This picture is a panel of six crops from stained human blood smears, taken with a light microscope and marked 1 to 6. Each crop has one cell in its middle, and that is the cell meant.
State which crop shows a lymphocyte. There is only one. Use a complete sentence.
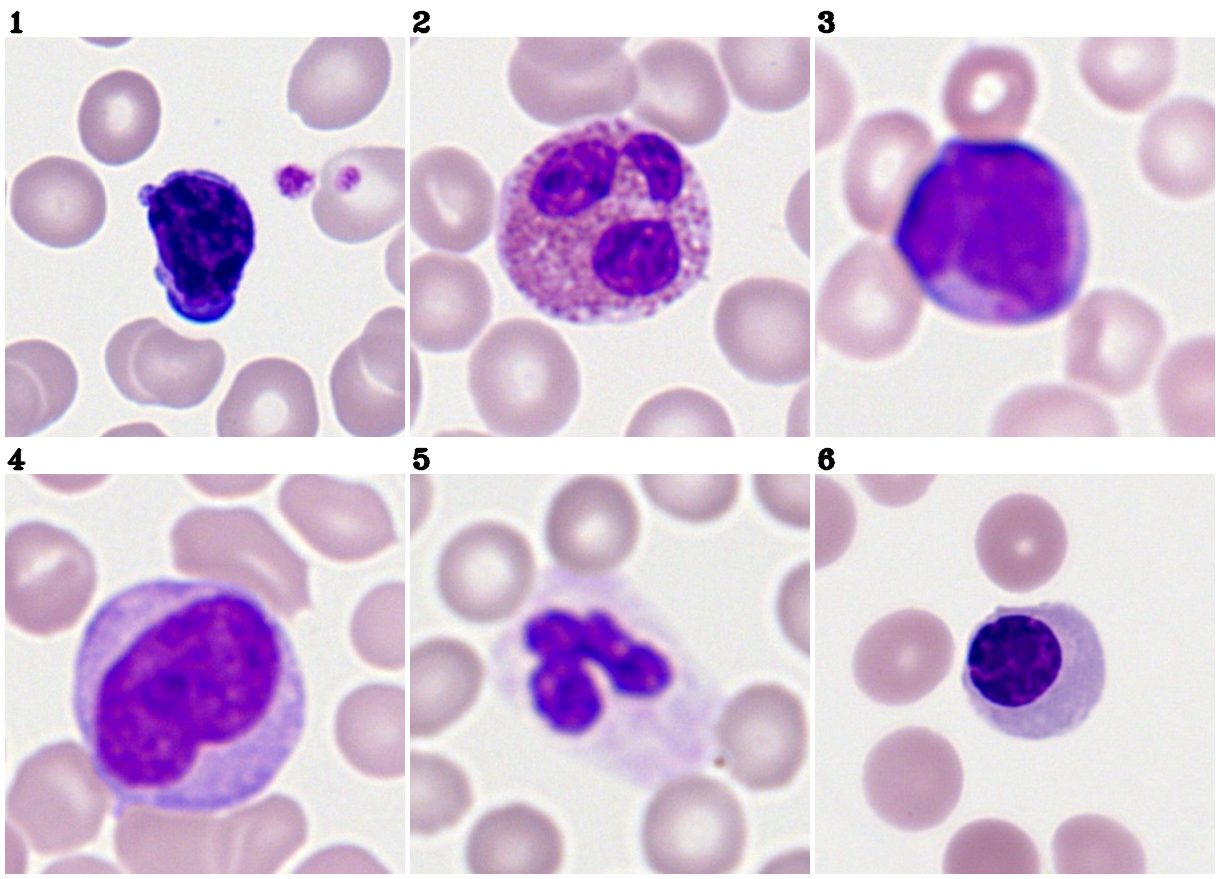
So the crop with a lymphocyte at its center is crop 1.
